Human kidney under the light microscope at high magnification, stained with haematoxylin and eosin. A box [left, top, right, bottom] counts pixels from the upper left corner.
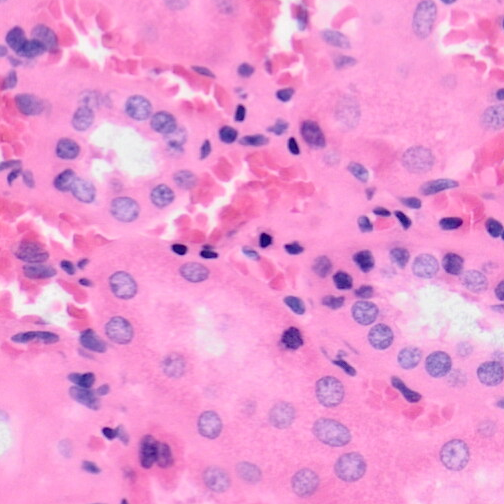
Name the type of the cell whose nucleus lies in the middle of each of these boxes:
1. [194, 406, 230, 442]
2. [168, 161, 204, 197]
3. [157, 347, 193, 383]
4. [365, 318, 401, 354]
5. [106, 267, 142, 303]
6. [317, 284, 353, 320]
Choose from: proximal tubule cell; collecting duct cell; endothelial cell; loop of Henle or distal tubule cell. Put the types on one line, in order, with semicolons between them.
proximal tubule cell; collecting duct cell; proximal tubule cell; collecting duct cell; proximal tubule cell; collecting duct cell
